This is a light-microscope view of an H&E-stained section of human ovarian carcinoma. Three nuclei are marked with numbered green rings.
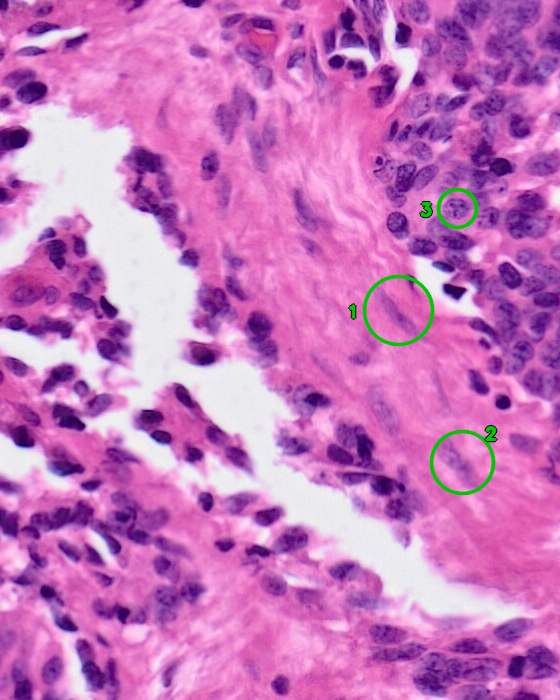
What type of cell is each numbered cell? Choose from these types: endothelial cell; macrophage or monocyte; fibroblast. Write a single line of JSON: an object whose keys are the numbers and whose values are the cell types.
{"1": "fibroblast", "2": "fibroblast", "3": "macrophage or monocyte"}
